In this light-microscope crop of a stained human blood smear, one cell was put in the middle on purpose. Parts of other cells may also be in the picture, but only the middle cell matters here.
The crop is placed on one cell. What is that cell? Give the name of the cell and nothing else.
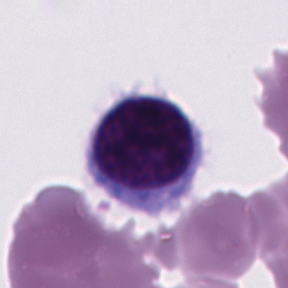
hairy cell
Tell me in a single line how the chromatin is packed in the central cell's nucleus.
Just so you know, its chromatin is coarsely clumped.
